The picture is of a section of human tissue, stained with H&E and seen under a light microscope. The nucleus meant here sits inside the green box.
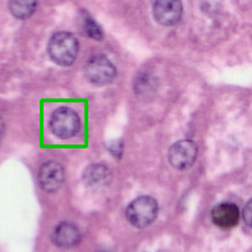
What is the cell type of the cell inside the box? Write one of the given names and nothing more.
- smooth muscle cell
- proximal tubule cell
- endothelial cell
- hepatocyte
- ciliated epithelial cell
hepatocyte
